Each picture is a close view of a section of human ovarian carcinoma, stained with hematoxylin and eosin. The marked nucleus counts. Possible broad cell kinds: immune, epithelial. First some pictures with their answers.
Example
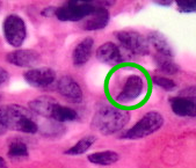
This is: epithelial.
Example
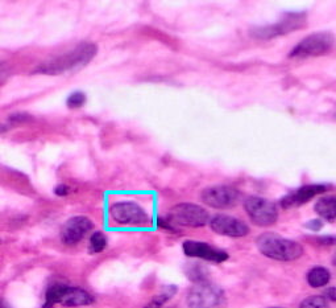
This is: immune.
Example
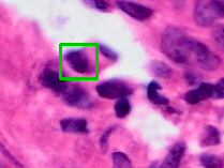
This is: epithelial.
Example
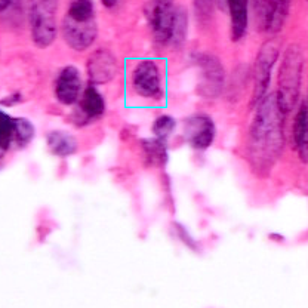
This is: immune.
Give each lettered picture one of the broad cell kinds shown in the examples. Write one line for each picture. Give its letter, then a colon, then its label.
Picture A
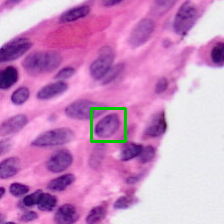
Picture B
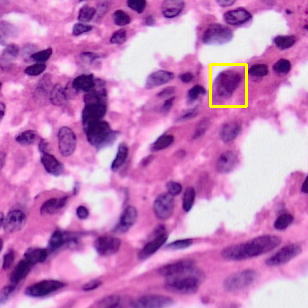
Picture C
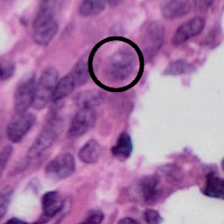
A: immune.
B: epithelial.
C: epithelial.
